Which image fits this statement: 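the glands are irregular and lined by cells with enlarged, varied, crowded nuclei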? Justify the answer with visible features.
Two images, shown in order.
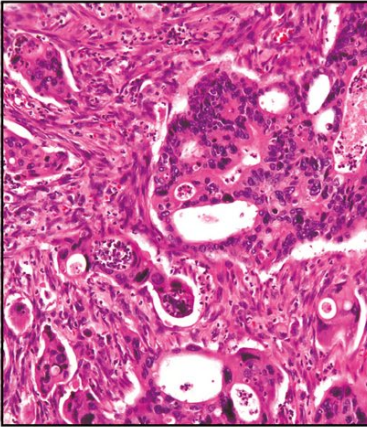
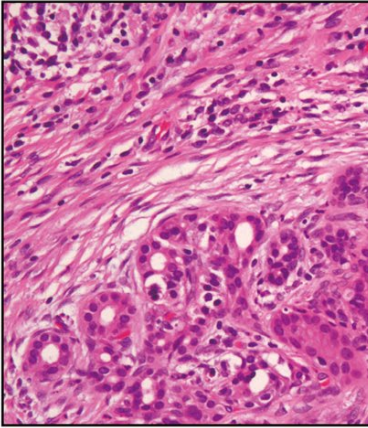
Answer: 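First image: angular, branching glands lined by crowded, dark, irregular nuclei. Second image: small rounded ducts lined by a single orderly layer of cells with uniform nuclei. On this evidence: the first image.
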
